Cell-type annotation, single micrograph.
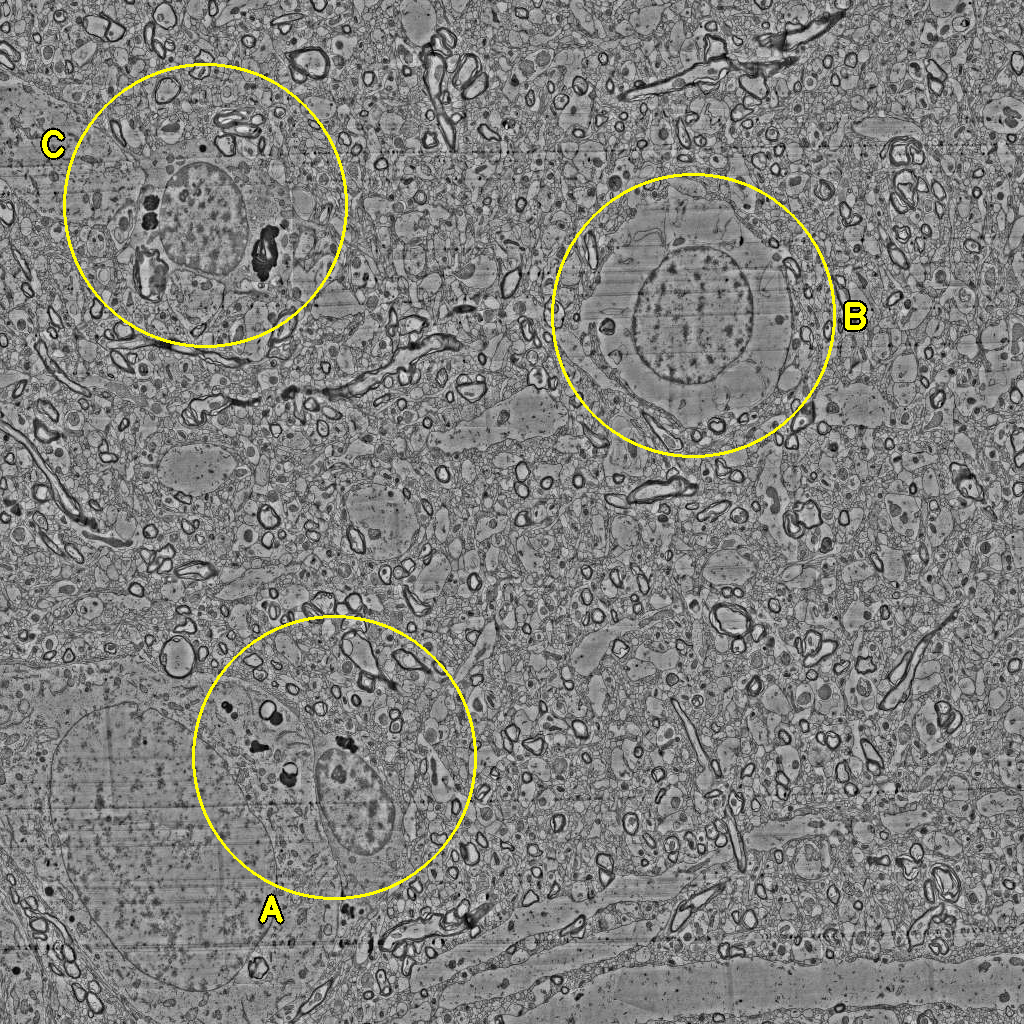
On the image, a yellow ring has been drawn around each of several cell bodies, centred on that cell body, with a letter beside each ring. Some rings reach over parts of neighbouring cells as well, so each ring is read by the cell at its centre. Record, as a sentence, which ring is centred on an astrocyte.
Ring B is centred on it.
